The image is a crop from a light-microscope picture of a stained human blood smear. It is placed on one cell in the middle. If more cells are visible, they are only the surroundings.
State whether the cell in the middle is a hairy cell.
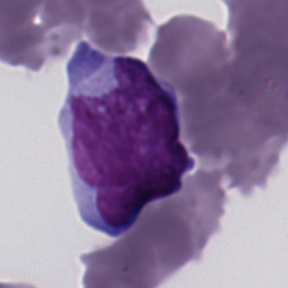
no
